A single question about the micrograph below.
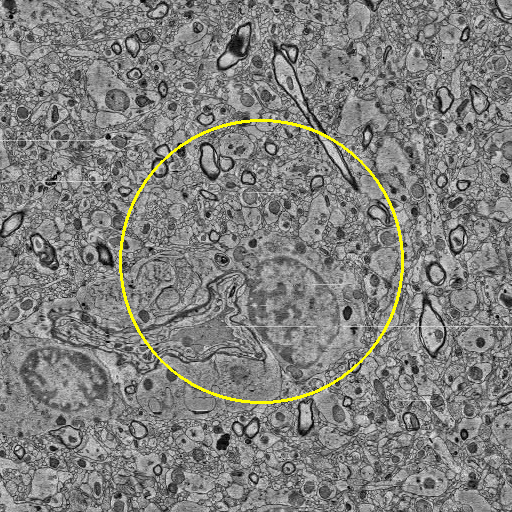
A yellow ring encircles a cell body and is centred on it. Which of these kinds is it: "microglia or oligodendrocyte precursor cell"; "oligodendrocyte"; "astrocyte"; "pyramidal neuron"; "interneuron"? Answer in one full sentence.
The cell body at the centre of the yellow ring belongs to an oligodendrocyte.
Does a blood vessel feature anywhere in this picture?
Yes.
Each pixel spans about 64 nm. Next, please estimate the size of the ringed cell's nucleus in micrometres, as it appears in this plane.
About 7 by 5 micrometres in this plane.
